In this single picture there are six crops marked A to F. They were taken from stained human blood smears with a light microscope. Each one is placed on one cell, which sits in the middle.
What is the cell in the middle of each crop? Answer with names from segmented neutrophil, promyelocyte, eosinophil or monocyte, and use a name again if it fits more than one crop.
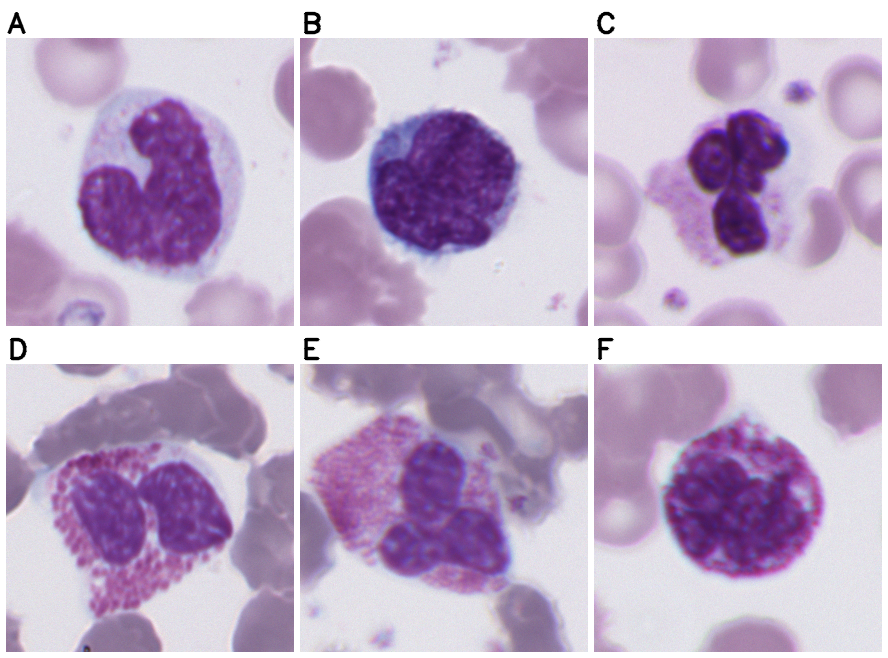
A: monocyte
B: monocyte
C: segmented neutrophil
D: eosinophil
E: eosinophil
F: eosinophil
